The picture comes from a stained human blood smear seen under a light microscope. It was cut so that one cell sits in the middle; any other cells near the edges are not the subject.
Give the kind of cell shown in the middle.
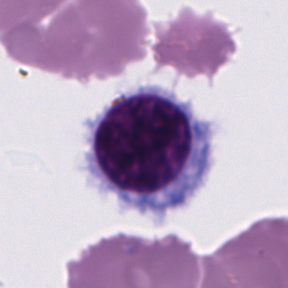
hairy cell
